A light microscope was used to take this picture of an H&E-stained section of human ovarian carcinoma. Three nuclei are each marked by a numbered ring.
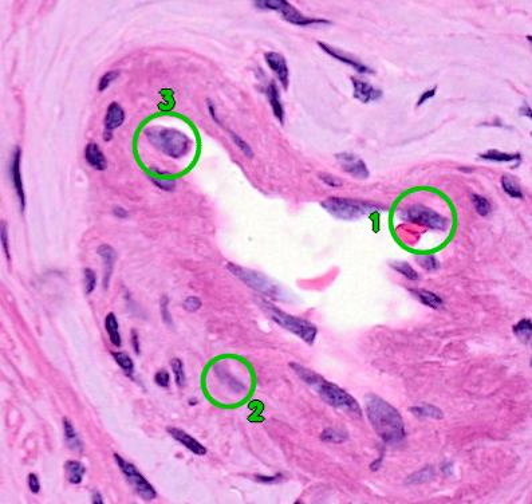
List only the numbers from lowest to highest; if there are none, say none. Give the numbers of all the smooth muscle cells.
2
